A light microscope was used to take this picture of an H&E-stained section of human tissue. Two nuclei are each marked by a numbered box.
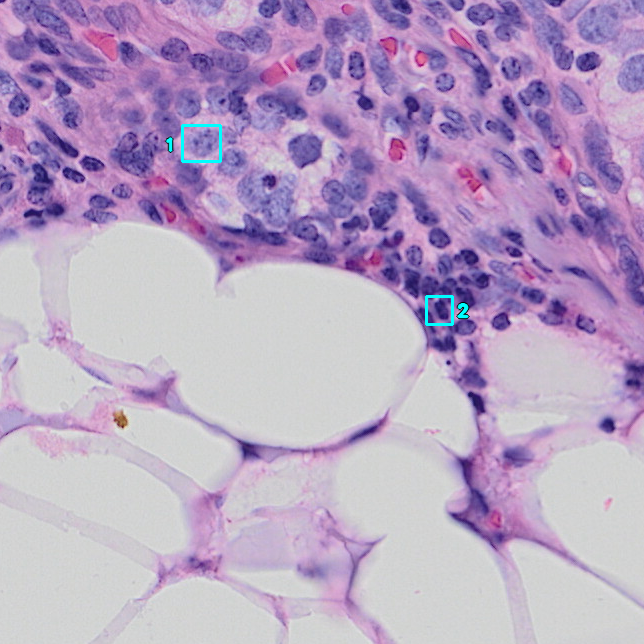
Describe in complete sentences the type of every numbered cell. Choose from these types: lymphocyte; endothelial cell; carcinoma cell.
Cell 1 is a carcinoma cell. Cell 2 is a lymphocyte.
